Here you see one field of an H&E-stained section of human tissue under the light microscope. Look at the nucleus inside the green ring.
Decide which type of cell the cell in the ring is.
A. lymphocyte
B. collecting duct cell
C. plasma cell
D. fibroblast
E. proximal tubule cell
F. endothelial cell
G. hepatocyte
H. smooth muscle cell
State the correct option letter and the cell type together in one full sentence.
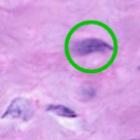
According to option D, the cell in the ring is a fibroblast, and this is correct.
